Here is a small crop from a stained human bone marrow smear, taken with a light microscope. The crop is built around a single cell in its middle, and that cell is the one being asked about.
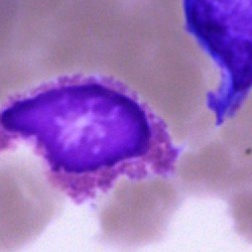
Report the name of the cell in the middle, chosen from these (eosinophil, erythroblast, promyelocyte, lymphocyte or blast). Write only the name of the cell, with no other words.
eosinophil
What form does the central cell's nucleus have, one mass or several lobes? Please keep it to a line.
Key feature: a single compact nucleus, round, oval or kidney-shaped.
